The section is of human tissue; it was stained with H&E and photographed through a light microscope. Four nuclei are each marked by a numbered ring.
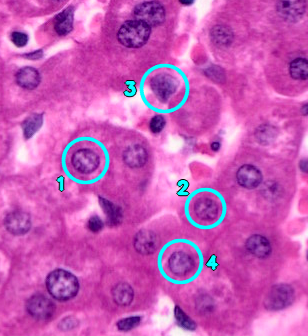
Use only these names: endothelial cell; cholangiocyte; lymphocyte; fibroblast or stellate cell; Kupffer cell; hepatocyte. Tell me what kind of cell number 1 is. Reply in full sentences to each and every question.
Here the cell numbered 1 is a hepatocyte.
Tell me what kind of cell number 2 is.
Belonging to a hepatocyte is the nucleus that carries the number 2.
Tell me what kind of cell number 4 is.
Among the marked cells, number 4 is a hepatocyte.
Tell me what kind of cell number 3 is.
Cell 3 is classified as an endothelial cell.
